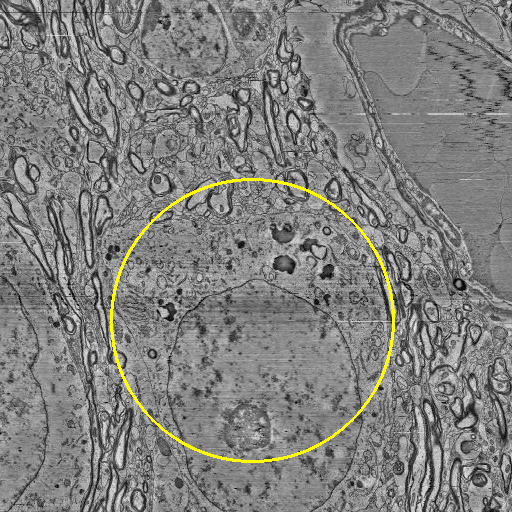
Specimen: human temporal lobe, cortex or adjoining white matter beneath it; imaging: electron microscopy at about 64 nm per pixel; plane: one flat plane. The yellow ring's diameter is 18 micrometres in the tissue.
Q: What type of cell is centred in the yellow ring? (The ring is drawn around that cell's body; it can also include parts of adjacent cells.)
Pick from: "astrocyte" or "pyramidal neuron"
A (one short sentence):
The yellow ring is centred on a pyramidal neuron.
